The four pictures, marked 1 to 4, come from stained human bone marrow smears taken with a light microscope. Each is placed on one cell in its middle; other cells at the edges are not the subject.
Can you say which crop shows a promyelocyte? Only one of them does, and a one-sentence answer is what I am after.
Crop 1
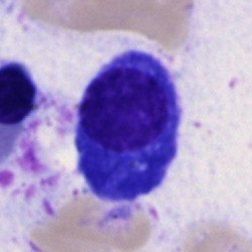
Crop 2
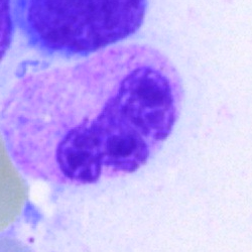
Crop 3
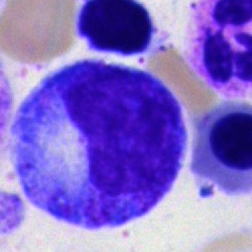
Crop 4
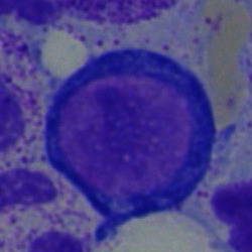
Crop 3 is the one to choose: it shows a promyelocyte.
